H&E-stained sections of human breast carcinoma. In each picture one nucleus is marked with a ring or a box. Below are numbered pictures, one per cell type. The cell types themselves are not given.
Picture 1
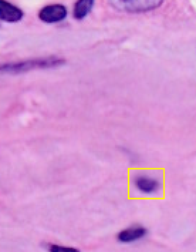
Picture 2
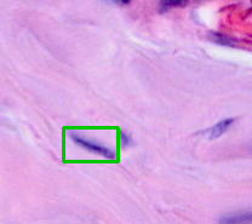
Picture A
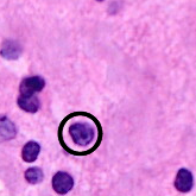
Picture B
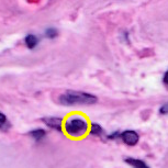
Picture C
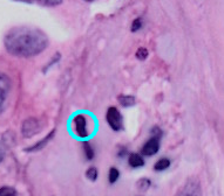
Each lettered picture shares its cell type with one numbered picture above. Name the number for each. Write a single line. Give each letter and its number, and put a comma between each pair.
A 1, B 1, C 1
